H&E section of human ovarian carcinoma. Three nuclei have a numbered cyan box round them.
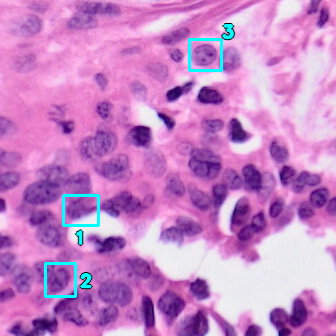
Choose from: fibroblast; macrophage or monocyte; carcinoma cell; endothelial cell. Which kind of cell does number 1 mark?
carcinoma cell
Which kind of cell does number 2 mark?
carcinoma cell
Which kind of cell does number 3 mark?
macrophage or monocyte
